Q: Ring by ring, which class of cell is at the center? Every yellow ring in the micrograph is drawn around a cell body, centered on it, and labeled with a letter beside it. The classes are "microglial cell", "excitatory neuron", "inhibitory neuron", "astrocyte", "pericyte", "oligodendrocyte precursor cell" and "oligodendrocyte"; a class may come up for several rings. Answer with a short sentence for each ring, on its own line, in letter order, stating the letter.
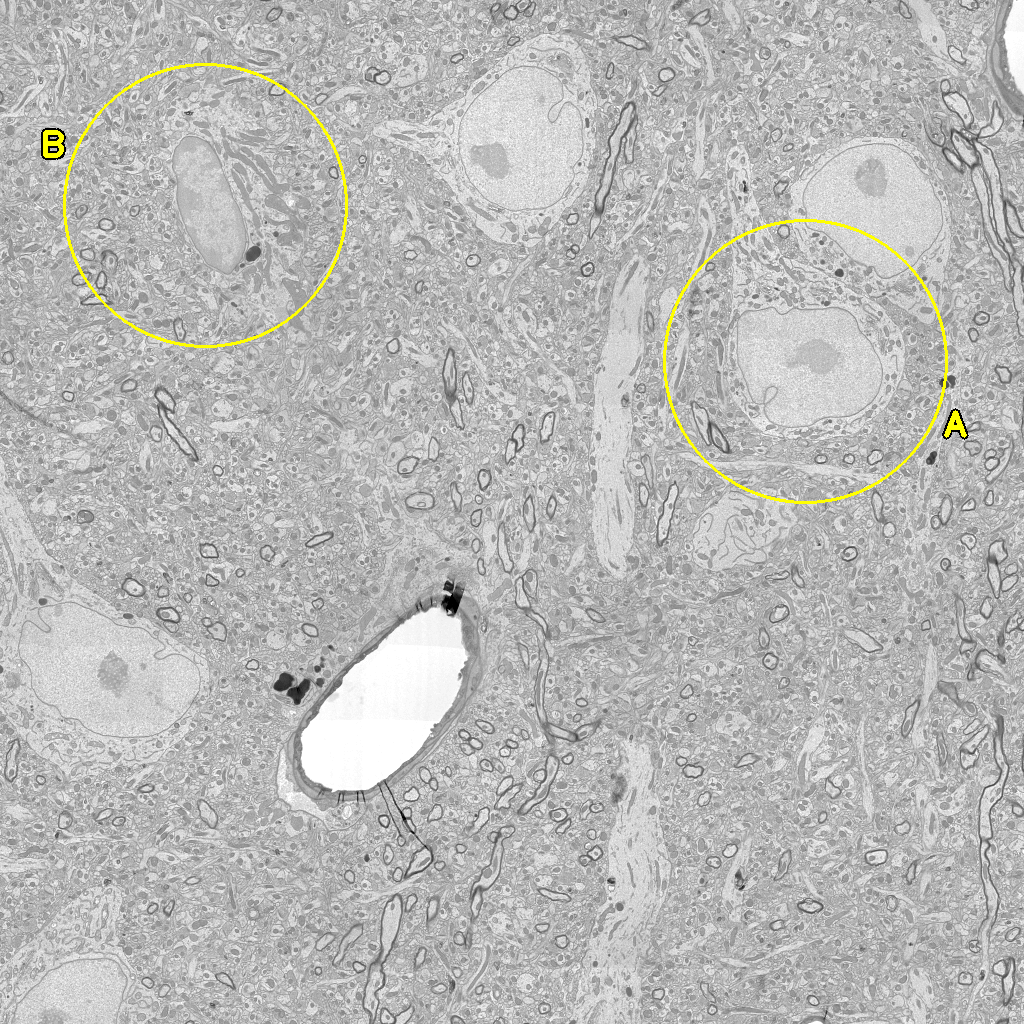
Ring A holds an inhibitory neuron at its center.
Ring B holds a microglial cell at its center.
